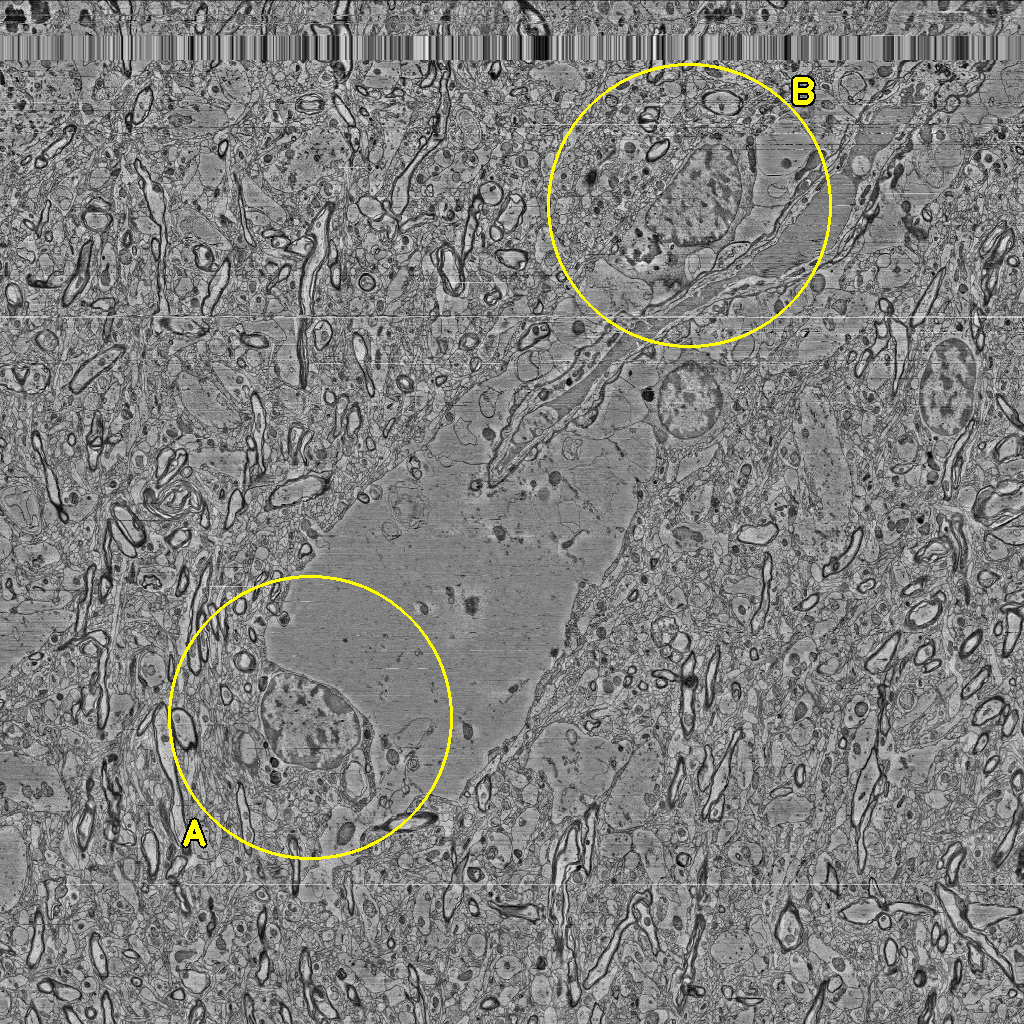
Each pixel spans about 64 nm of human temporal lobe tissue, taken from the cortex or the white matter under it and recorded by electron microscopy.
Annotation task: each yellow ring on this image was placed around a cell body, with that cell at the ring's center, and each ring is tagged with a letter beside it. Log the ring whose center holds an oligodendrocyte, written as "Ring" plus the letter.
Ring B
